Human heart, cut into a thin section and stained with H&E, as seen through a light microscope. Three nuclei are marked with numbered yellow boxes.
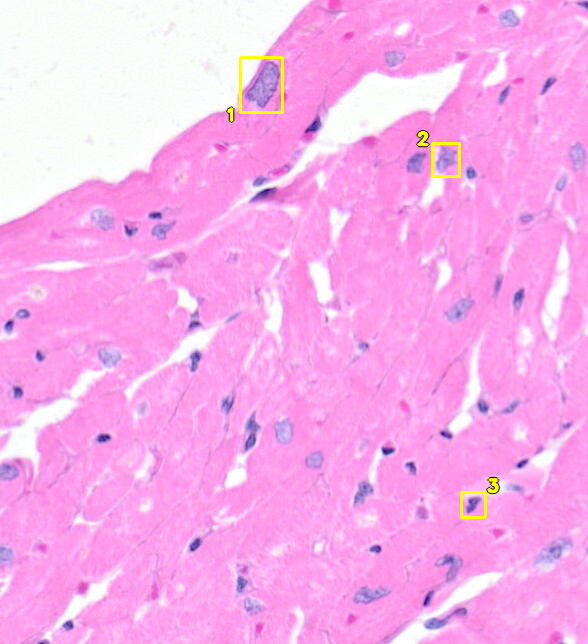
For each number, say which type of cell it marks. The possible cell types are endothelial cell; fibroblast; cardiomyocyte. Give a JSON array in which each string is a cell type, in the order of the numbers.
["cardiomyocyte", "cardiomyocyte", "endothelial cell"]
